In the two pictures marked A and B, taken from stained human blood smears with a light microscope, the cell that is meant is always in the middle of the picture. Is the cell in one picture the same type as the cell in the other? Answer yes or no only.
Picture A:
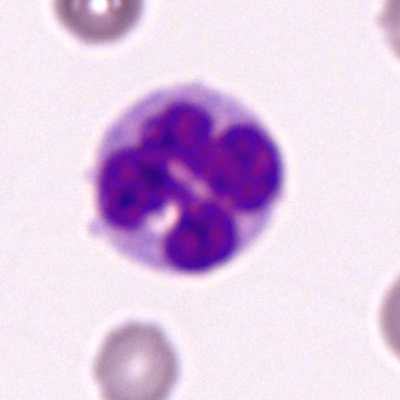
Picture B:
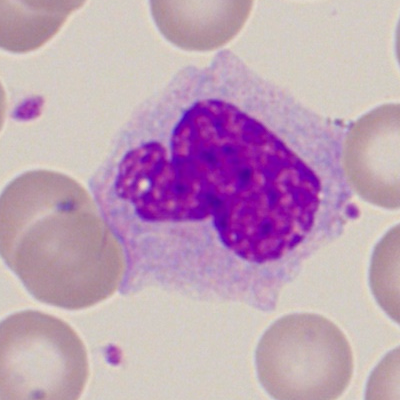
yes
